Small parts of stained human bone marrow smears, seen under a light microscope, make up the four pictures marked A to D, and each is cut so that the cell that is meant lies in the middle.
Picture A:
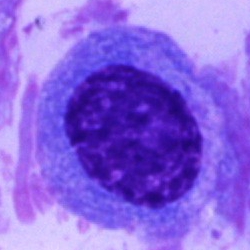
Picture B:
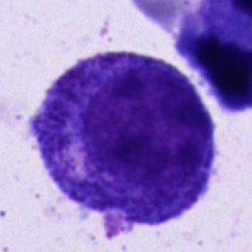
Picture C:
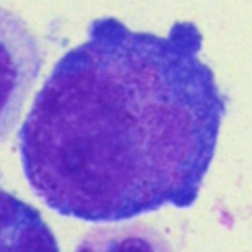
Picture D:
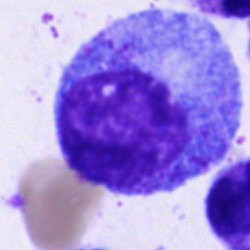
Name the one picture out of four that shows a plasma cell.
A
